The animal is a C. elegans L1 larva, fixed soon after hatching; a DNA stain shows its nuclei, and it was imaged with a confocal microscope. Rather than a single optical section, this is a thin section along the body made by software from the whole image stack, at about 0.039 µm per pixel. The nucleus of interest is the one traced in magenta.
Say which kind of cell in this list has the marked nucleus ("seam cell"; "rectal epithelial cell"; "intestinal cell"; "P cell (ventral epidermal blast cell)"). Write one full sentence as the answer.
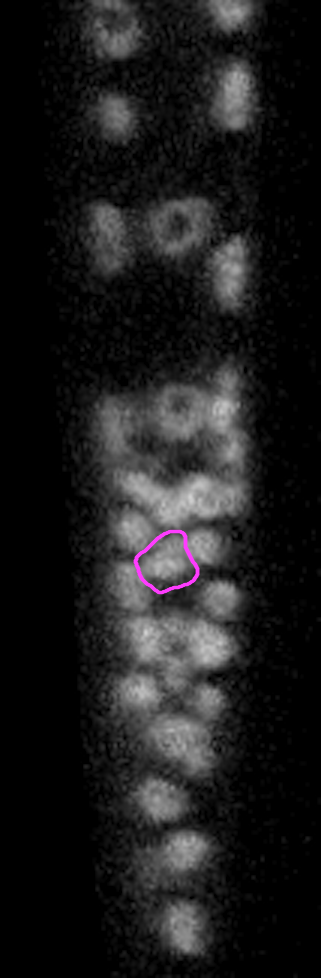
The marked cell is a rectal epithelial cell.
